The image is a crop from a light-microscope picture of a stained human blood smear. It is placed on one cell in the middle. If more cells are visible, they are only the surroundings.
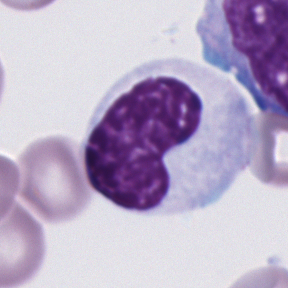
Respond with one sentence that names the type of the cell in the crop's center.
Among the cells in view, the one in the middle is a band neutrophil.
